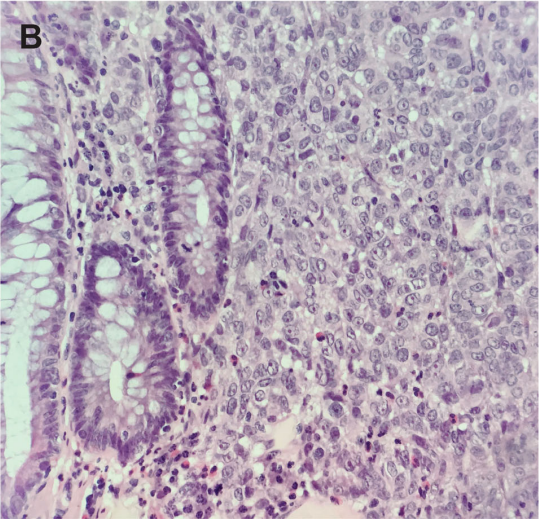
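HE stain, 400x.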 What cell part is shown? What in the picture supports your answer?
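Prominent nucleoli. Many of the large tumor nuclei contain a distinct dark dot-like nucleolus. The nuclei are vesicular with pale chromatin around the nucleolus.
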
